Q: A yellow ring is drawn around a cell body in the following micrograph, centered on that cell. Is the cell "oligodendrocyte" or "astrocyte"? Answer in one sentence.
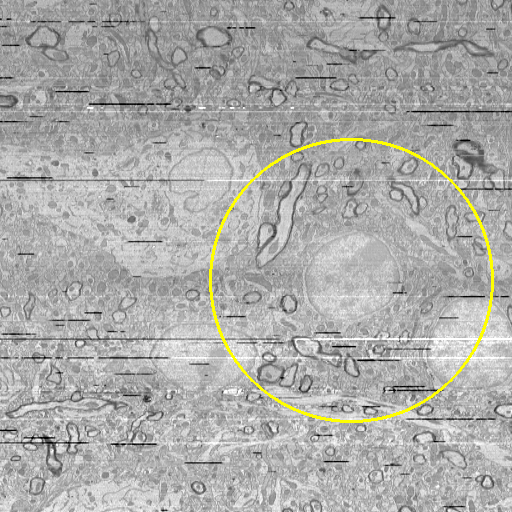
The cell in the center of the ring is an oligodendrocyte.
